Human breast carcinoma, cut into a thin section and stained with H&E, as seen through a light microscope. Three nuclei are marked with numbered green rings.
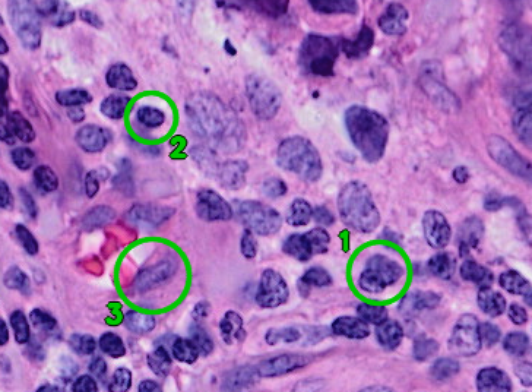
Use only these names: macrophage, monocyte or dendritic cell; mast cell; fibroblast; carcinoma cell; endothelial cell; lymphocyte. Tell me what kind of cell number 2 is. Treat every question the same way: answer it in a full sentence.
The cell that carries the label 2 is a lymphocyte.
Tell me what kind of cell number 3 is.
The cell referred to as 3 is an endothelial cell.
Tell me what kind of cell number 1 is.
Marked with the number 1, this cell is a lymphocyte.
